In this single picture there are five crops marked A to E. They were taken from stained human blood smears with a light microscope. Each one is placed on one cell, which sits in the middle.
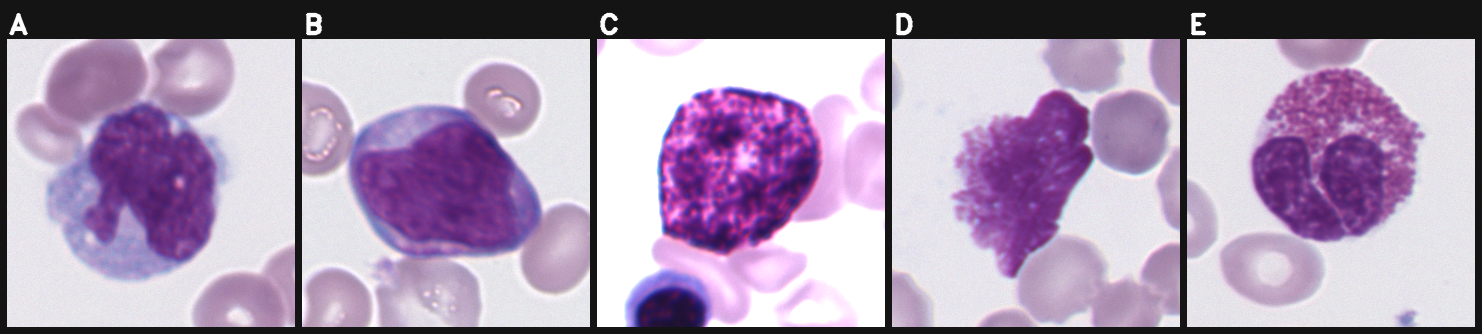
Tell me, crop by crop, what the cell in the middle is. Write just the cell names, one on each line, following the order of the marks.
monocyte
atypical promyelocyte
basophil
smudge cell
eosinophil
